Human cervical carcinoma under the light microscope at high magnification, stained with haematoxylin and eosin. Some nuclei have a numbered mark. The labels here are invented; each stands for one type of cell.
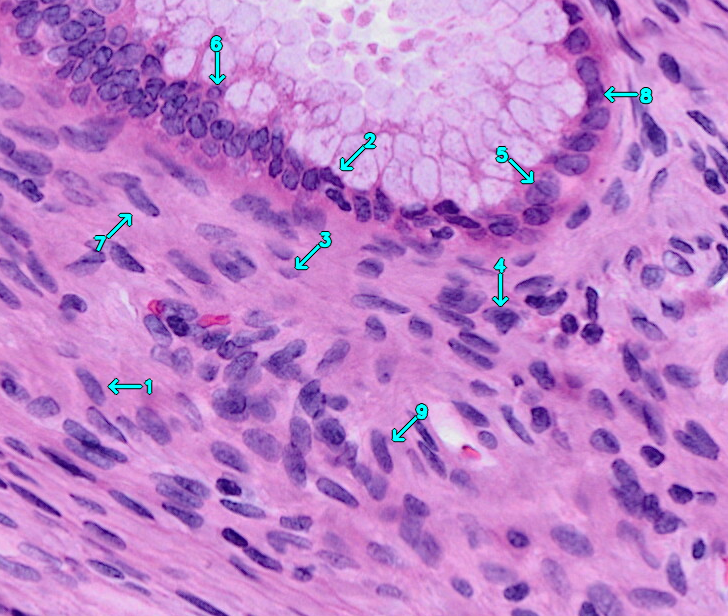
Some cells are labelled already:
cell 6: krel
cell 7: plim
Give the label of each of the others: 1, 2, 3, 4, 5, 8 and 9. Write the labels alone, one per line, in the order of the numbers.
plim
krel
plim
plim
krel
krel
plim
